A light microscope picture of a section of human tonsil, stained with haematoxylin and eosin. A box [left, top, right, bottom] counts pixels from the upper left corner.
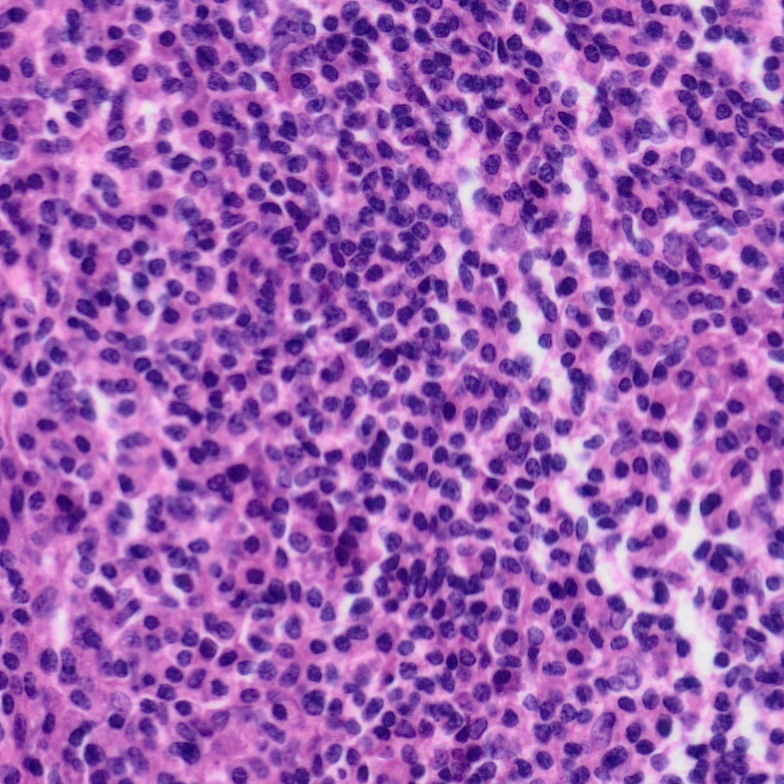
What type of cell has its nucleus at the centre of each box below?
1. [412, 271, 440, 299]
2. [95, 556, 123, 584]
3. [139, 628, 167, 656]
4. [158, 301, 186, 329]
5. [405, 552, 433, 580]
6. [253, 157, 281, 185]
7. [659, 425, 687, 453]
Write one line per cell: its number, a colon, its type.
1: small lymphocyte
2: plasma cell
3: plasma cell
4: plasma cell
5: small lymphocyte
6: small lymphocyte
7: plasma cell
